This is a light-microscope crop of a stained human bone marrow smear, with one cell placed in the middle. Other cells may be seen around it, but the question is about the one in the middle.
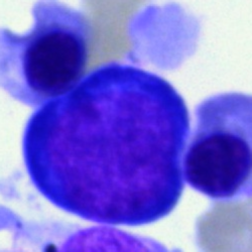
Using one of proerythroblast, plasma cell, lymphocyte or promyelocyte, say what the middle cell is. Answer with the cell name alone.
proerythroblast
